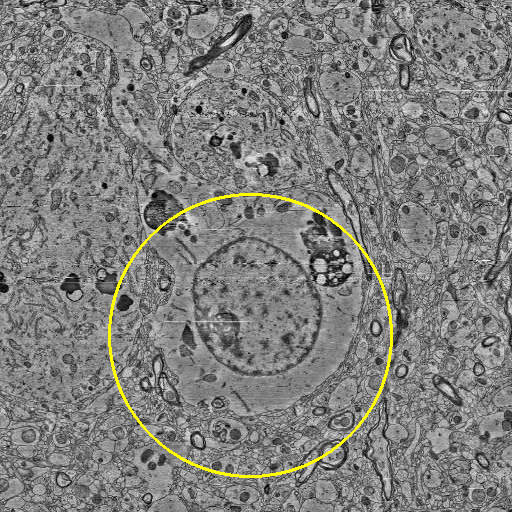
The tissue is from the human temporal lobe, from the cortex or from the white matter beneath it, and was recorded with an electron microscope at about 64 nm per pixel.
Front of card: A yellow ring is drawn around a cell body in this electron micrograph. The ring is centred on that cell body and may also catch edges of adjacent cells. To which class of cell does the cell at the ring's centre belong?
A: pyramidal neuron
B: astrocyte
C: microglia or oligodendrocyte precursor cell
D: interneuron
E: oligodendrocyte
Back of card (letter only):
B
